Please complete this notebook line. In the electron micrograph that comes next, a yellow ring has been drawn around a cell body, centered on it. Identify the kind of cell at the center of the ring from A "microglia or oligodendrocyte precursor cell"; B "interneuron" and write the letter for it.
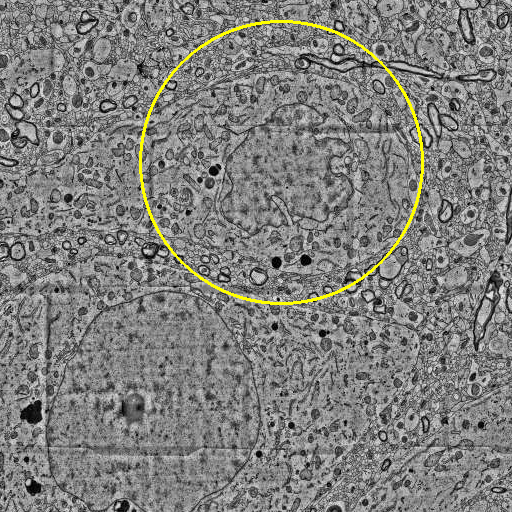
B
